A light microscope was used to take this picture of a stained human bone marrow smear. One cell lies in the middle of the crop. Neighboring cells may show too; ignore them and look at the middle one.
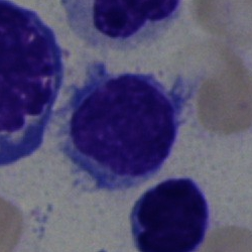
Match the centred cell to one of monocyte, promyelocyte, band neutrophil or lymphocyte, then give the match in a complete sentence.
The middle position in this crop is taken by a lymphocyte.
